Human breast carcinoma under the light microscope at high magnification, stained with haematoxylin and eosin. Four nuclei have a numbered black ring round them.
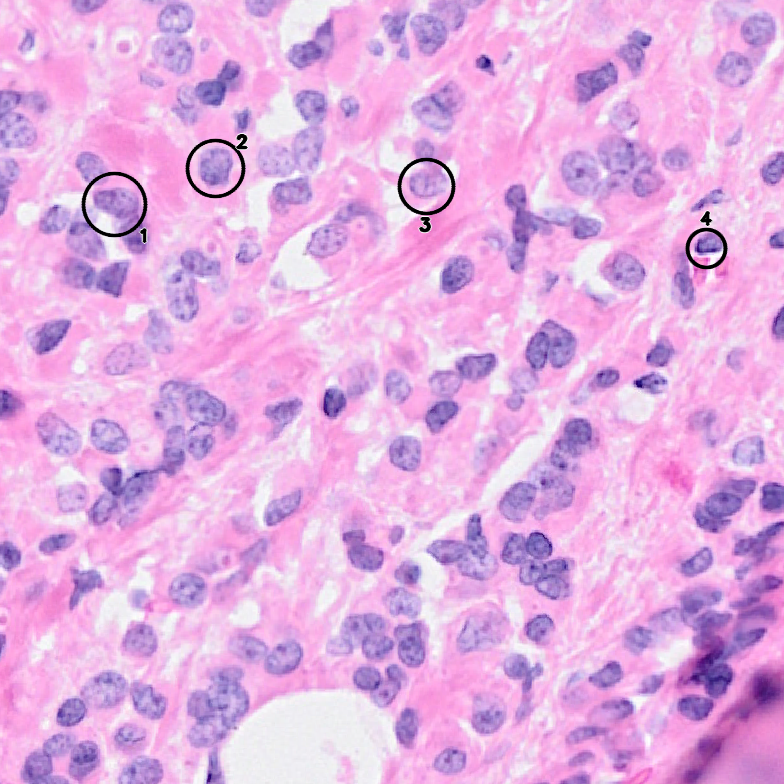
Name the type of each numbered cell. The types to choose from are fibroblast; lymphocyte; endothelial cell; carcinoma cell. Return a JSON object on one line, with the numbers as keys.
{"1": "carcinoma cell", "2": "carcinoma cell", "3": "carcinoma cell", "4": "endothelial cell"}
